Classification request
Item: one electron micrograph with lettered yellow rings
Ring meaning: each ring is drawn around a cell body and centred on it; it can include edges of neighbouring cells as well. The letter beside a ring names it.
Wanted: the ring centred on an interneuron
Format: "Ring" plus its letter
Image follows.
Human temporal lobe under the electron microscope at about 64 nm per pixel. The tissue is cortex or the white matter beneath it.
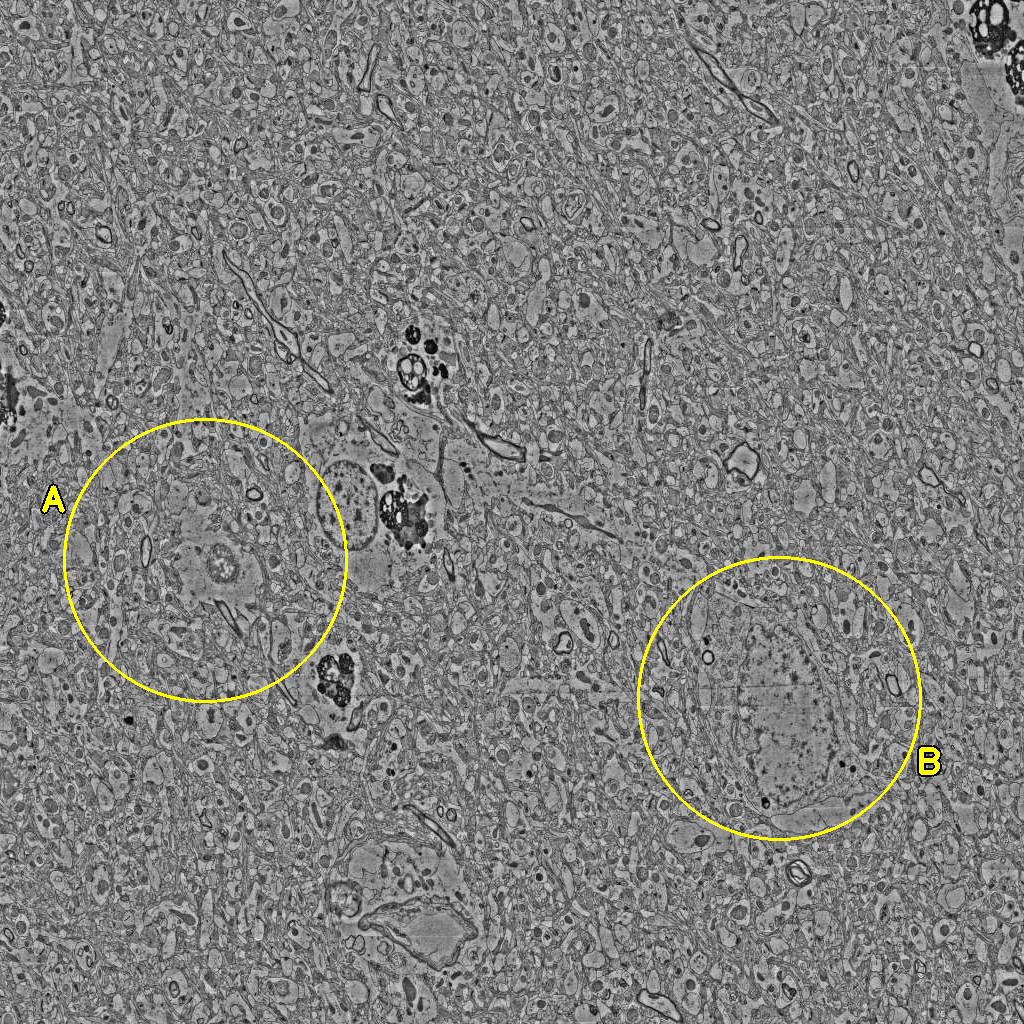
Ring B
